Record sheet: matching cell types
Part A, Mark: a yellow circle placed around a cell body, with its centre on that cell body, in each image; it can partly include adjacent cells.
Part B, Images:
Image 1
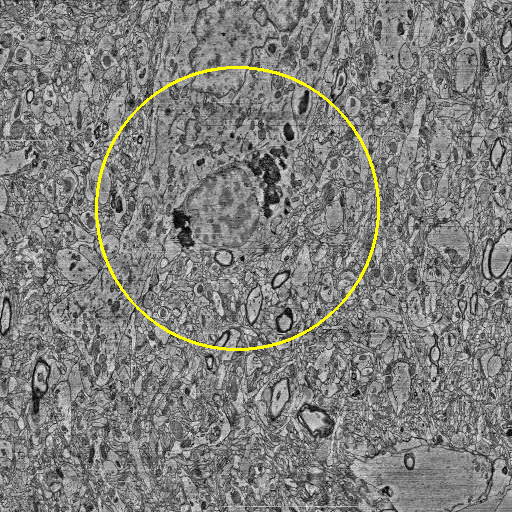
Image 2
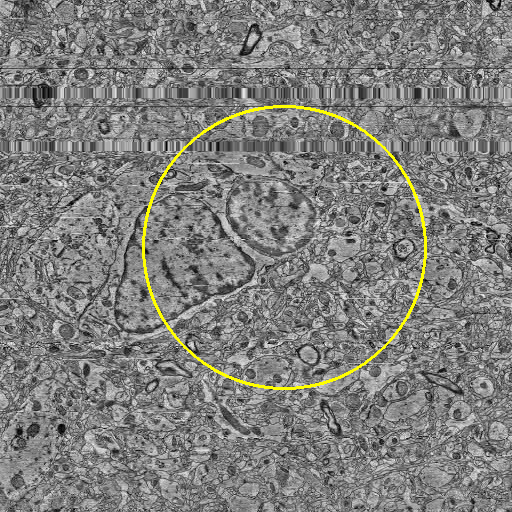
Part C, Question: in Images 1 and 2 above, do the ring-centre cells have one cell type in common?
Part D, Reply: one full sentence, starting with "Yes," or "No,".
Yes, the ring-centre cells of Image 1 and Image 2 are both of a single cell type.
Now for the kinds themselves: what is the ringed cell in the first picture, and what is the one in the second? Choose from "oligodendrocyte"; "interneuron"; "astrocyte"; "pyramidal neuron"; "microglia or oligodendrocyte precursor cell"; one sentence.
Each of the ringed cells, first and second, is an oligodendrocyte.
